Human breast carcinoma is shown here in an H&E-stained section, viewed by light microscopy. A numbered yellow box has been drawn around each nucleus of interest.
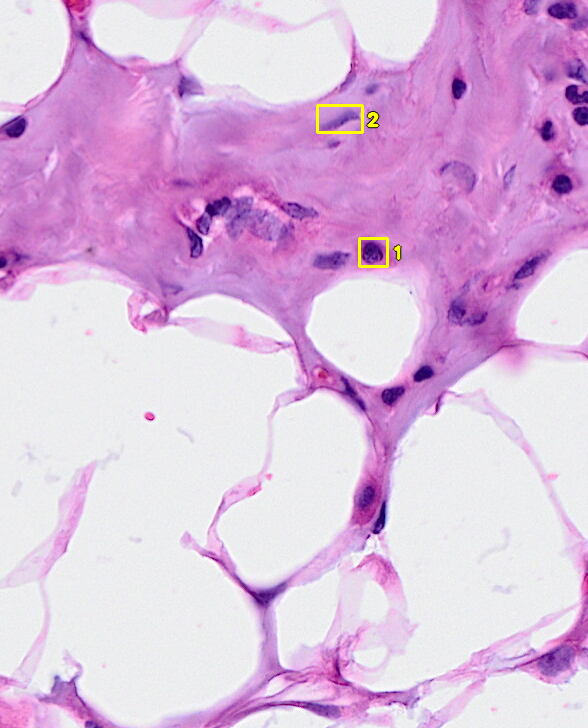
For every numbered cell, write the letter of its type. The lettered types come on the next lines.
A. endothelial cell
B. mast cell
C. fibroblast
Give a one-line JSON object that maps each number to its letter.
{"1": "B", "2": "C"}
